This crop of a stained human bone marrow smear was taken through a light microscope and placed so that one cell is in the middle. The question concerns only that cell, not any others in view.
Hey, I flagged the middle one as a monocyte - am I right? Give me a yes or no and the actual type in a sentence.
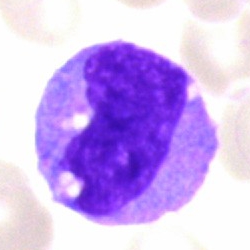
Yes, the cell lying in the middle is a monocyte.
